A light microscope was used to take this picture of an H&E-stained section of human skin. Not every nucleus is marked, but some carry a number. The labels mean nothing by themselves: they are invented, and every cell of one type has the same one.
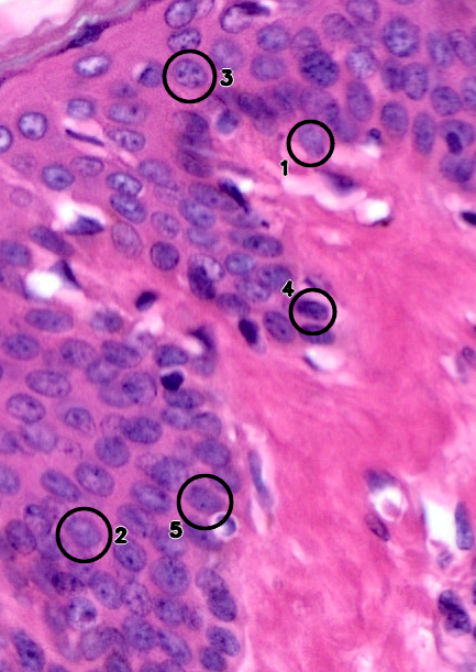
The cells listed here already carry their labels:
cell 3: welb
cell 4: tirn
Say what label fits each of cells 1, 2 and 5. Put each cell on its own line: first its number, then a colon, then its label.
1: tirn
2: welb
5: tirn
